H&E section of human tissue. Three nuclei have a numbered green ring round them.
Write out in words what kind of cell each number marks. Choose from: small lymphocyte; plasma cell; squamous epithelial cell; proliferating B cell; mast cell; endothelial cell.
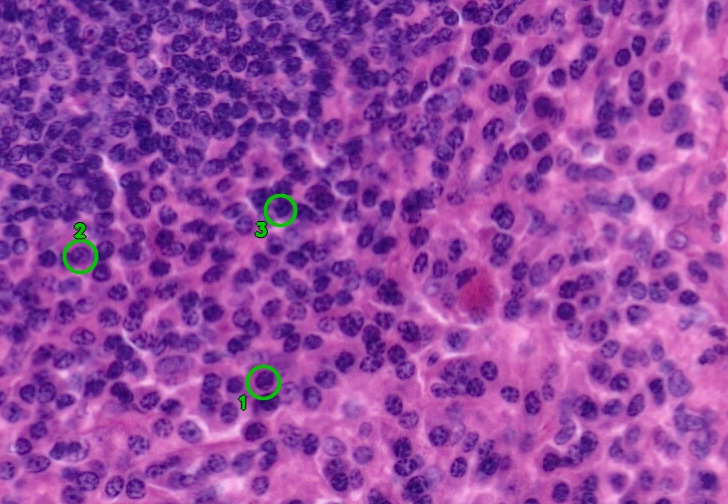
Cells 1 and 2 are plasma cells. Cell 3 is a small lymphocyte.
